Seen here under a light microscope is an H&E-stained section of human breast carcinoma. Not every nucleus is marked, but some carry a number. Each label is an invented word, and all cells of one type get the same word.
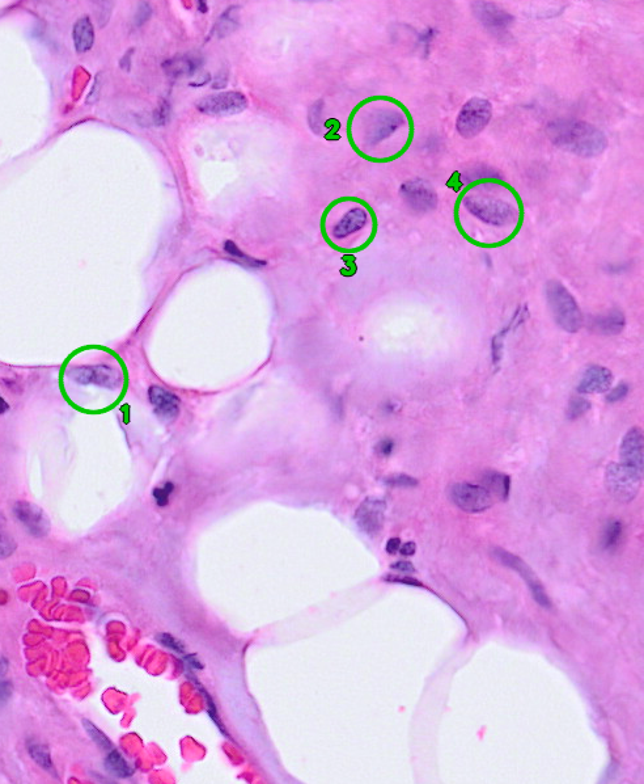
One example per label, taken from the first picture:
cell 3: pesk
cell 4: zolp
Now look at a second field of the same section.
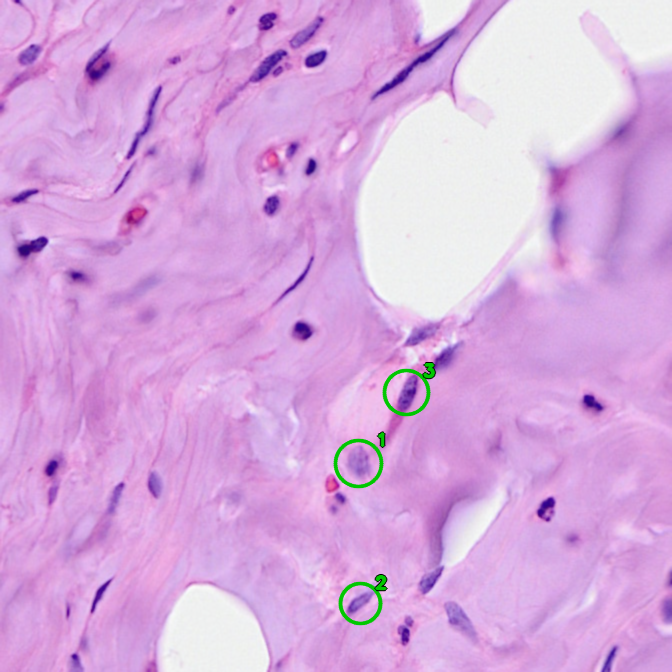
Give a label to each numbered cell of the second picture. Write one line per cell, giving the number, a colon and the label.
1: zolp
2: zolp
3: pesk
